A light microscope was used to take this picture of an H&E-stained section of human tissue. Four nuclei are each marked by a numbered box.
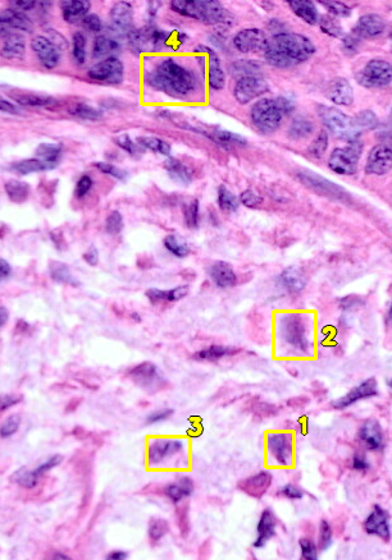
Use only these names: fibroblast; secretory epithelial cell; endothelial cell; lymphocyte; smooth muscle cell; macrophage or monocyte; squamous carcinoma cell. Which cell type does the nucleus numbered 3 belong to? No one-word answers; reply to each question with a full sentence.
Regarding cell 3, this one is a fibroblast.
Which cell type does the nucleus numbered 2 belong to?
The cell to which the number 2 is assigned is a fibroblast.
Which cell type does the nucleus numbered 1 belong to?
What the number 1 marks in this field is a fibroblast.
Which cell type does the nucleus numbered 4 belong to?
The cell to which the number 4 is assigned is a squamous carcinoma cell.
